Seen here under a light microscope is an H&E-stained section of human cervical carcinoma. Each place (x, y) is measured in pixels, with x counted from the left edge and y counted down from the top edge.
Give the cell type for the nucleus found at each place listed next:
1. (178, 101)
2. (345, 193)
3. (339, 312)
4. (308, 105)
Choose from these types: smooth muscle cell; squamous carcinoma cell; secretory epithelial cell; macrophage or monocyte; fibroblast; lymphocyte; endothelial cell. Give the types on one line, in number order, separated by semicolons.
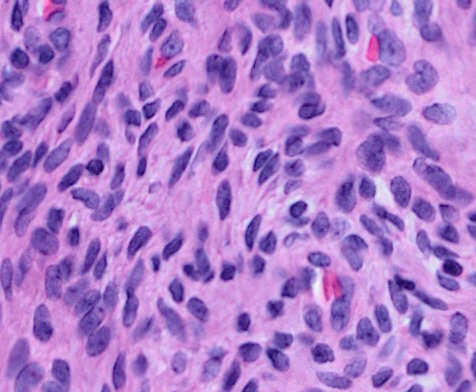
fibroblast; fibroblast; endothelial cell; fibroblast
